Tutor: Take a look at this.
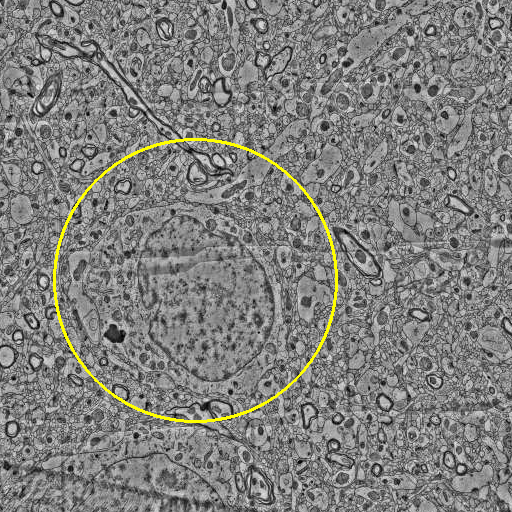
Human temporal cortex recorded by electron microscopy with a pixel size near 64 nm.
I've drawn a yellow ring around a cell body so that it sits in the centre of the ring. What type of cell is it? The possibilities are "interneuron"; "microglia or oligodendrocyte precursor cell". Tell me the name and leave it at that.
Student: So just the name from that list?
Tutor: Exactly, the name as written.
interneuron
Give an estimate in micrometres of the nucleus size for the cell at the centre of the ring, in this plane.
In this plane the nucleus spans approximately 11 by 8 micrometers.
